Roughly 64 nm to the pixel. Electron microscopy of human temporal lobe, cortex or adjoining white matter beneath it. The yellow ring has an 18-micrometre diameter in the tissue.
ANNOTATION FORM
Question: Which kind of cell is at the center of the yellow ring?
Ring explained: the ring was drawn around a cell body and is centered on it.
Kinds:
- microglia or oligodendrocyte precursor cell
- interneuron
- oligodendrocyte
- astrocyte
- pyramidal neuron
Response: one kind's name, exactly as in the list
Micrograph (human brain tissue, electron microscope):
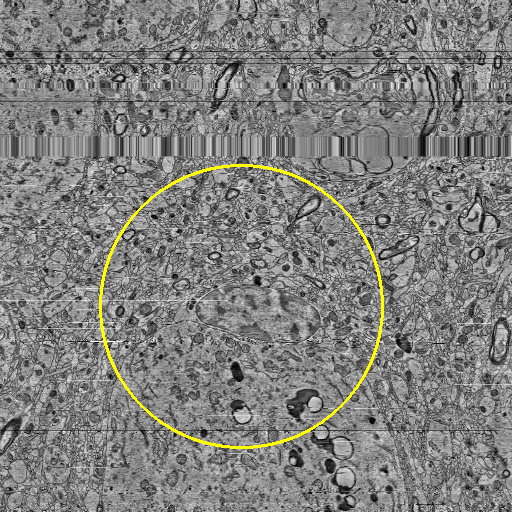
microglia or oligodendrocyte precursor cell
